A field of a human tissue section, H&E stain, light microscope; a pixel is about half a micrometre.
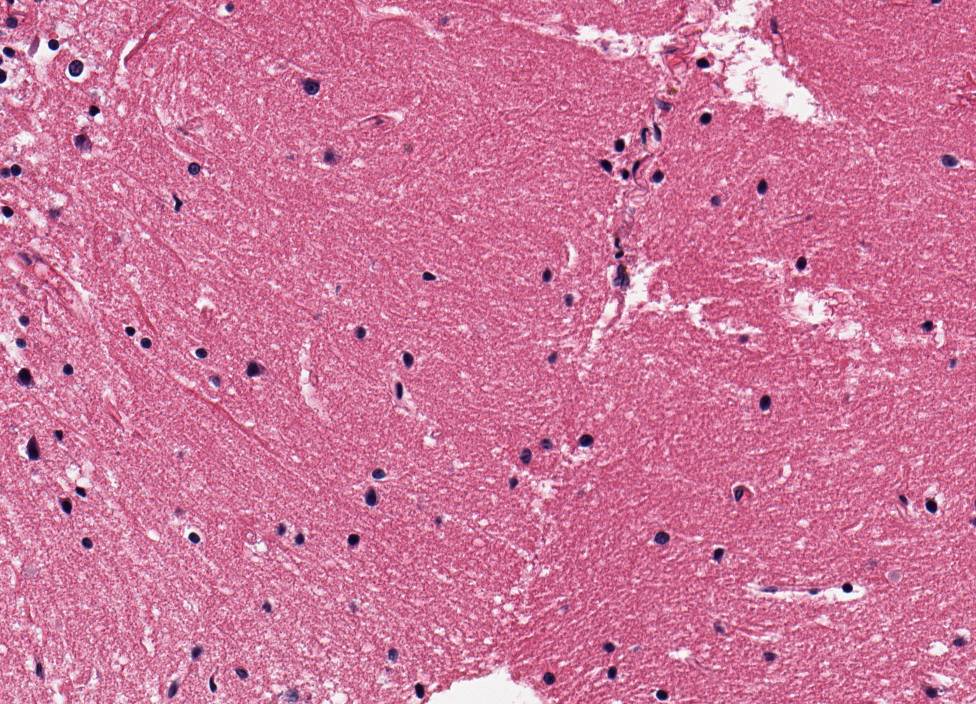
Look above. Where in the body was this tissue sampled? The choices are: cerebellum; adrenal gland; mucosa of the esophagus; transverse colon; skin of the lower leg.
cerebellum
